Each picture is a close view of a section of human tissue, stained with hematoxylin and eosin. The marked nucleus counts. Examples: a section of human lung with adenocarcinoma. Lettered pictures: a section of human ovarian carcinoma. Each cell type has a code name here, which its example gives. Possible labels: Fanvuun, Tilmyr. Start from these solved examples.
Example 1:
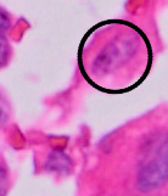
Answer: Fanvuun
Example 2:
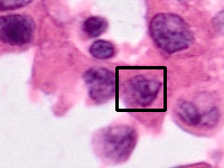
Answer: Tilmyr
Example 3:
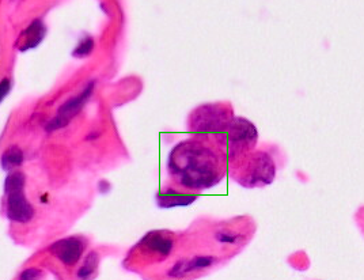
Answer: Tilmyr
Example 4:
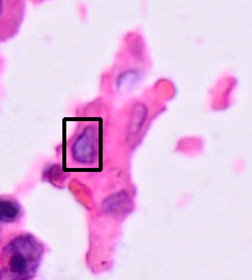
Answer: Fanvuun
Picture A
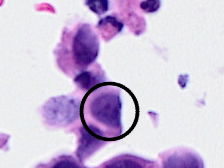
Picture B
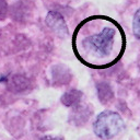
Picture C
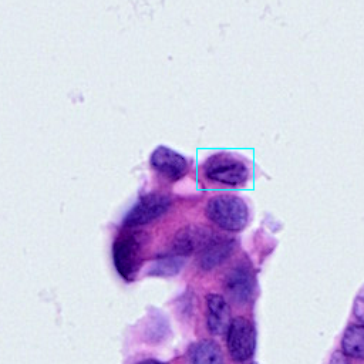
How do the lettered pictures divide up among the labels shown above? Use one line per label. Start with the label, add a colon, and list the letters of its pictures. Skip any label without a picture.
Fanvuun: B, C
Tilmyr: A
